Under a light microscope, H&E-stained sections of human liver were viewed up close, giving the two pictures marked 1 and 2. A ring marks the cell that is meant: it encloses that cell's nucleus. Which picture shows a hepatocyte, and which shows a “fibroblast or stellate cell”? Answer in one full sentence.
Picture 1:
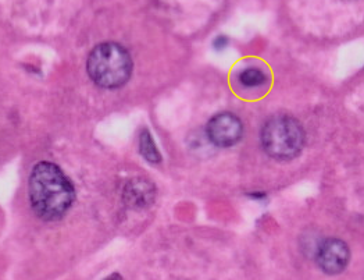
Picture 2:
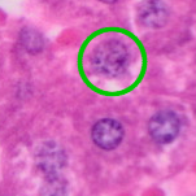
In picture 1 the cell is a “fibroblast or stellate cell”; in picture 2, a hepatocyte.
